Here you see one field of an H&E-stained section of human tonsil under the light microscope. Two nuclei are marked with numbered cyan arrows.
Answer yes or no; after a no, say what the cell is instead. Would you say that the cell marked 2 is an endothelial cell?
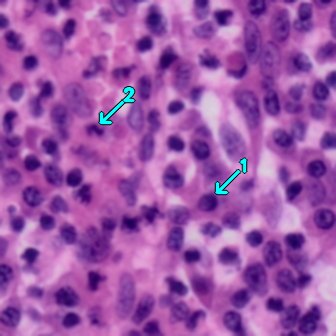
Yes.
